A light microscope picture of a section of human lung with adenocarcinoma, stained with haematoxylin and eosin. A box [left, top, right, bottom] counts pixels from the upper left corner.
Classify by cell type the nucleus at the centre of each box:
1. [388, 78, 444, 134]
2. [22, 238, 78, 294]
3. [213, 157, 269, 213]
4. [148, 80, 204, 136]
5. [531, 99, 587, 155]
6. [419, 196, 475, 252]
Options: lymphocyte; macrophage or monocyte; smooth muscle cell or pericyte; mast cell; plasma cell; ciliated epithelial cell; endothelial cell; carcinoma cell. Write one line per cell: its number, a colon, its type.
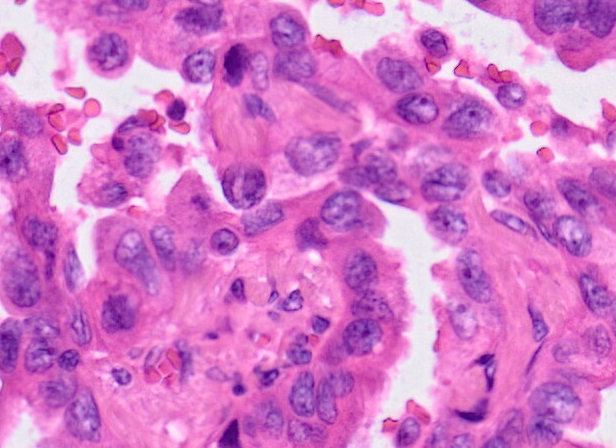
1: carcinoma cell
2: carcinoma cell
3: carcinoma cell
4: lymphocyte
5: macrophage or monocyte
6: carcinoma cell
